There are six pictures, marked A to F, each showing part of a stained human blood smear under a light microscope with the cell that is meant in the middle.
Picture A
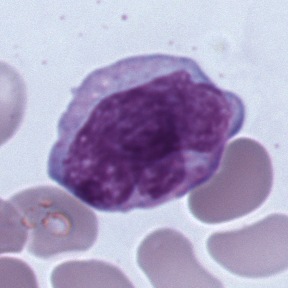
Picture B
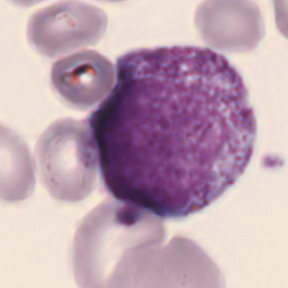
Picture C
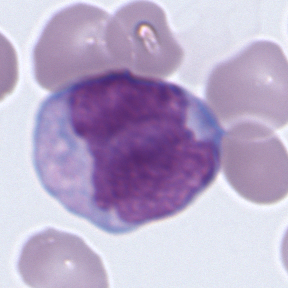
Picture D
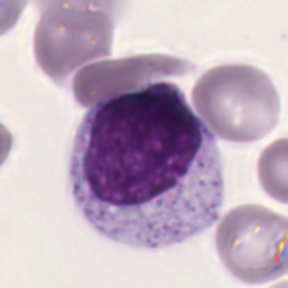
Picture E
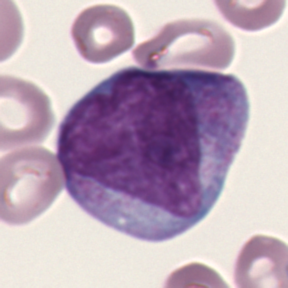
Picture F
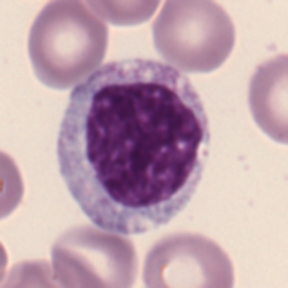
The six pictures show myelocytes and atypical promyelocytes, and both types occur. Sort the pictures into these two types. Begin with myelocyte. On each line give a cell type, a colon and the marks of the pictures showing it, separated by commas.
myelocyte: B, D, F
atypical promyelocyte: A, C, E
